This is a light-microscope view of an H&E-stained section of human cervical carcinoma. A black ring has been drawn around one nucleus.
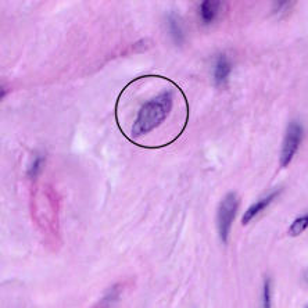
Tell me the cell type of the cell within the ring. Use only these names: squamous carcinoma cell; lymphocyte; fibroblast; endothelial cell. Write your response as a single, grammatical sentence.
In the tissue under study, the cell within the ring is a fibroblast.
